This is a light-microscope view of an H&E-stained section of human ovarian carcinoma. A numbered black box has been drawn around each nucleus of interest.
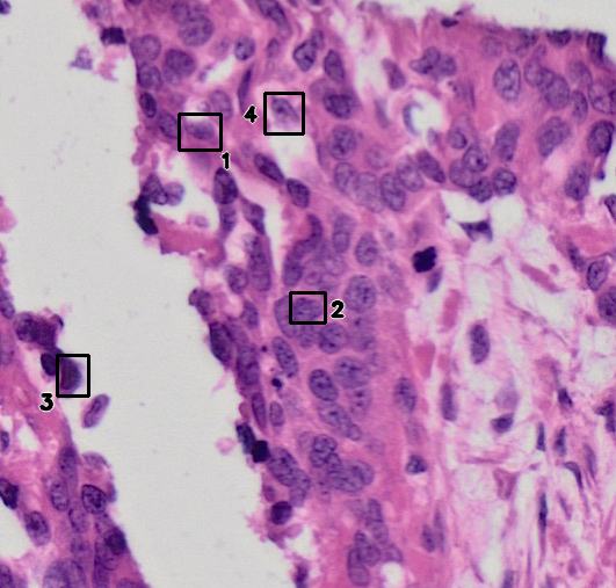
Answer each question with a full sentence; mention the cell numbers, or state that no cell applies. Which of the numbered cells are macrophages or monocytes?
Only cell 4 qualifies as a macrophage or monocyte among the numbered cells.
